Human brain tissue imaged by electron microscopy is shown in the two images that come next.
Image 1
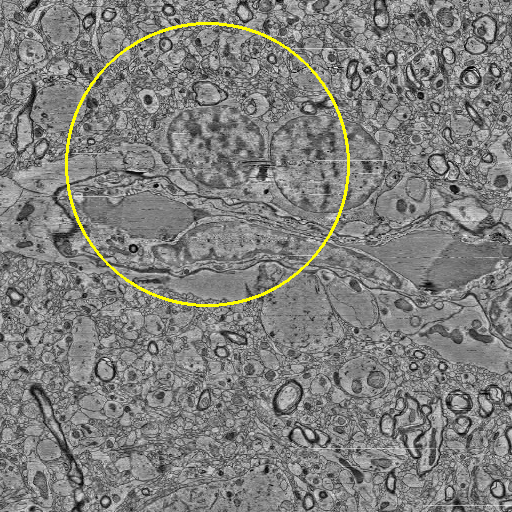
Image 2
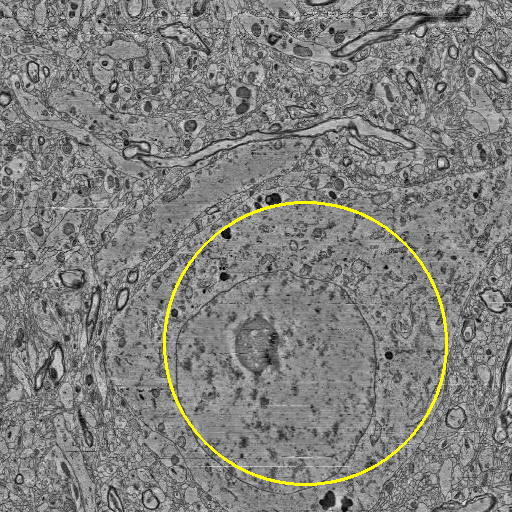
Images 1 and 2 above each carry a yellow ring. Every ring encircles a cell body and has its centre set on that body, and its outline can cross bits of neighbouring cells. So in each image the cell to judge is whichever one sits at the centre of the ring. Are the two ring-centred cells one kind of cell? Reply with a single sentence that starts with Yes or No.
No, in Image 1 and Image 2 the cells at the centres of their rings fall into two types.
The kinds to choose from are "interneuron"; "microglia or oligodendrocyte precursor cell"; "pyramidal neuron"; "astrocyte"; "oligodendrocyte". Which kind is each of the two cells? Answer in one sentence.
Of the two, the first cell is an oligodendrocyte and the second cell is a pyramidal neuron.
